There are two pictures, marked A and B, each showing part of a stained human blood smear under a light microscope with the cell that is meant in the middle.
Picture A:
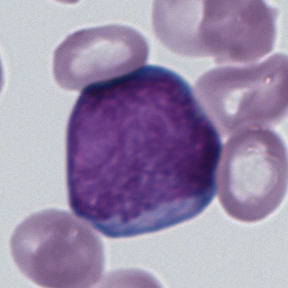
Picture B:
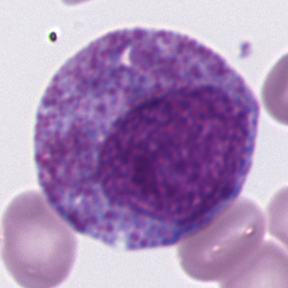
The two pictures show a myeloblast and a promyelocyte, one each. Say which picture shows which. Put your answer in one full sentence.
Picture A shows a myeloblast and picture B shows a promyelocyte.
